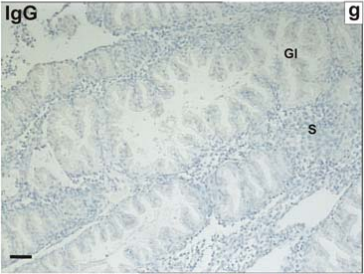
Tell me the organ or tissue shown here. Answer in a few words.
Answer: endometrium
